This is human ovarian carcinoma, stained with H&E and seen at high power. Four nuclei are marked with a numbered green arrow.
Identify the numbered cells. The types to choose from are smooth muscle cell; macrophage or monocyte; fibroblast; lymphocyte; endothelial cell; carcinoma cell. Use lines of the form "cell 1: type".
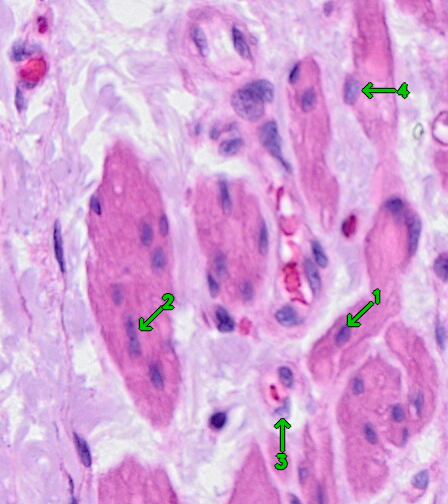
cell 1: smooth muscle cell
cell 2: smooth muscle cell
cell 3: endothelial cell
cell 4: smooth muscle cell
